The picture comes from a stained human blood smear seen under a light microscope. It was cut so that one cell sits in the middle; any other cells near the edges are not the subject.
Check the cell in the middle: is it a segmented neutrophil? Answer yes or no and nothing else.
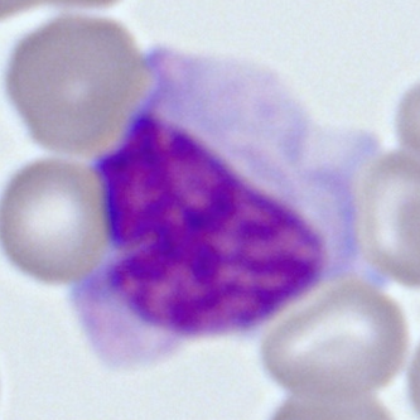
no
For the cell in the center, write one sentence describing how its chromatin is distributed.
You can see that its chromatin is coarsely clumped.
